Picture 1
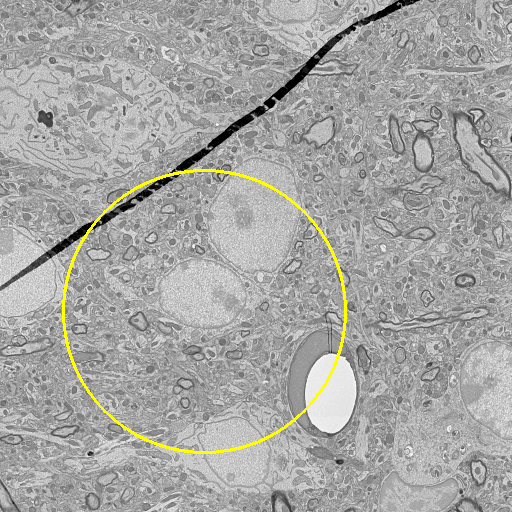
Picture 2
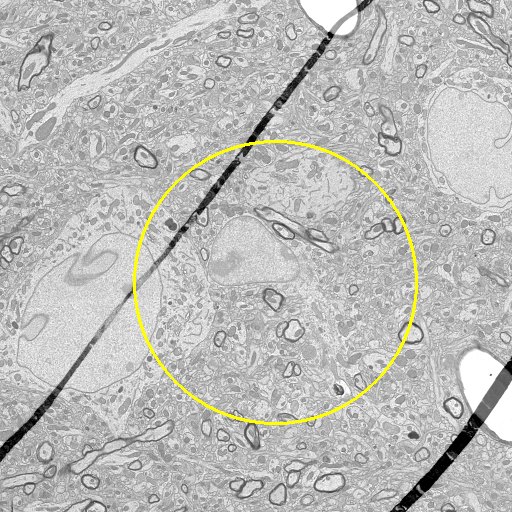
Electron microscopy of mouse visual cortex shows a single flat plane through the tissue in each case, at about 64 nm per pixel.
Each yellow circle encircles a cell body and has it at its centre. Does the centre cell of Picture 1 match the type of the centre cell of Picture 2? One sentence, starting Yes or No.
Yes, the cell centred in Picture 1 and the one in Picture 2 share a type.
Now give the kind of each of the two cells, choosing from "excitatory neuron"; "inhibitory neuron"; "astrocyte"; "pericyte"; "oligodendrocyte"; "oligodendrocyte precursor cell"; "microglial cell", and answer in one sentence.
Each of the two cells is an astrocyte.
